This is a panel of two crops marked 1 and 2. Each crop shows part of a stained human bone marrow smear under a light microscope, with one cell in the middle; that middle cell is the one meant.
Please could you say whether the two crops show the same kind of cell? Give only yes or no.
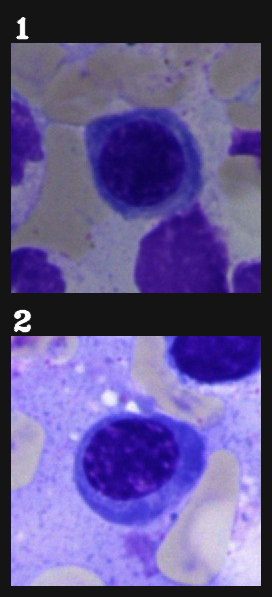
yes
